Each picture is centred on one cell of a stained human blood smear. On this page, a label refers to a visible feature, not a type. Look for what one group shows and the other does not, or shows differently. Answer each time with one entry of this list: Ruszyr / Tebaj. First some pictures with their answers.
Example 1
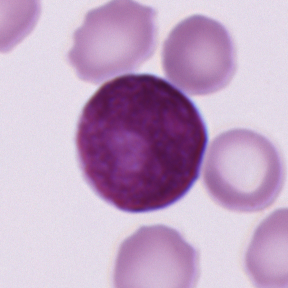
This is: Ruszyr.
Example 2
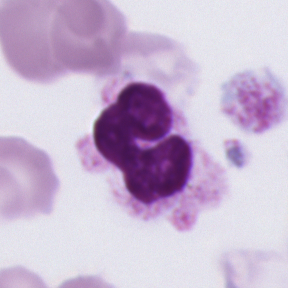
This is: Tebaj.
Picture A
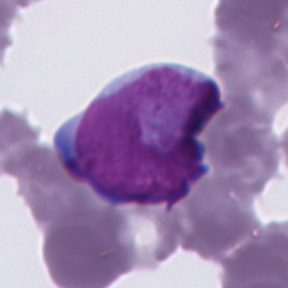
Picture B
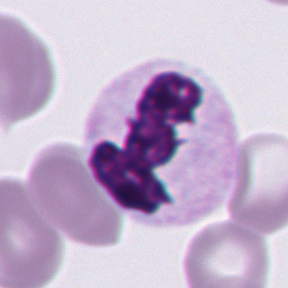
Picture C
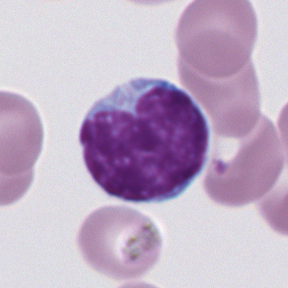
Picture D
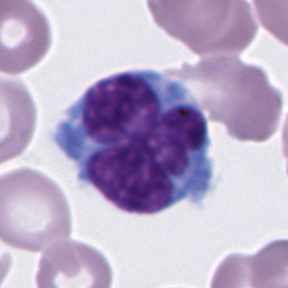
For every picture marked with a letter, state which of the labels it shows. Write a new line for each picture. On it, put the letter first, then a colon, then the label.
A: Tebaj.
B: Ruszyr.
C: Ruszyr.
D: Tebaj.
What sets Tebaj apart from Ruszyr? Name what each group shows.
Tebaj, ragged outline or projections; Ruszyr, smooth outline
